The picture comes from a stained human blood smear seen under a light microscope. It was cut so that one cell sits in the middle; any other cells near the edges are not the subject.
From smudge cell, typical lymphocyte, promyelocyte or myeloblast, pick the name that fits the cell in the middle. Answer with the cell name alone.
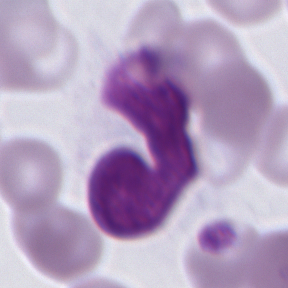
smudge cell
